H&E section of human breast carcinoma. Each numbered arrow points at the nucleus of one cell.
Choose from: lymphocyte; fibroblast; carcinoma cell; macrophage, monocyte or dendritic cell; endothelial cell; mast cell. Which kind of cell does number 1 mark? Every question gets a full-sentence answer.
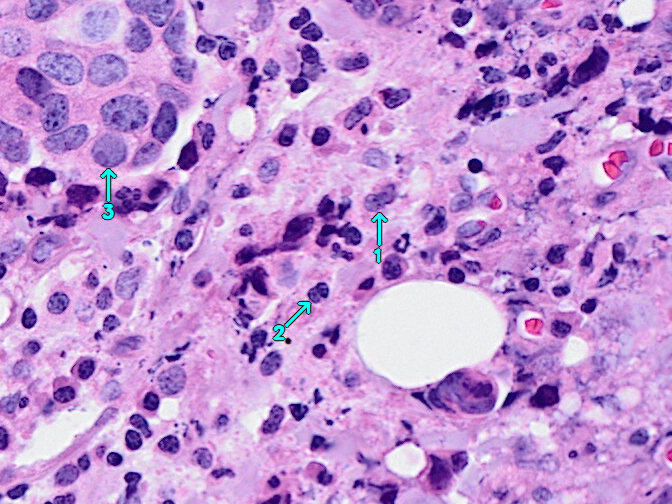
In the marked set, the cell given number 1 is a macrophage, monocyte or dendritic cell.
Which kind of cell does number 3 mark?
Number 3 among the marked cells is a carcinoma cell.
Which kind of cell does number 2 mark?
The cell to which the number 2 is assigned is a lymphocyte.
